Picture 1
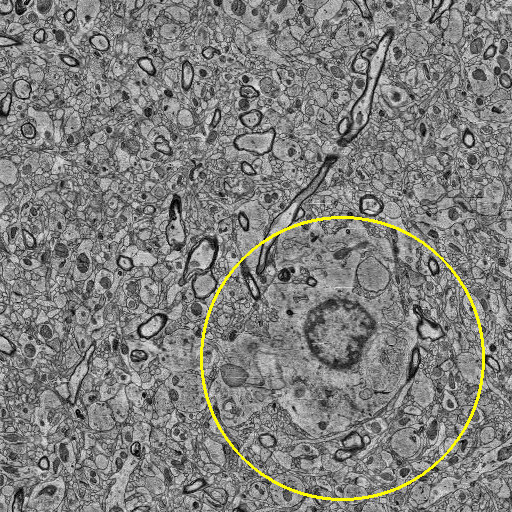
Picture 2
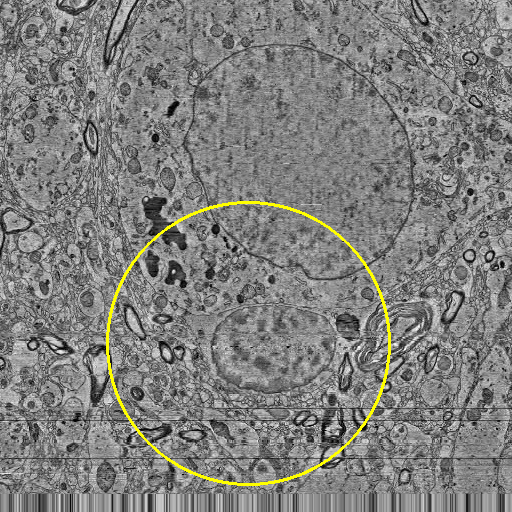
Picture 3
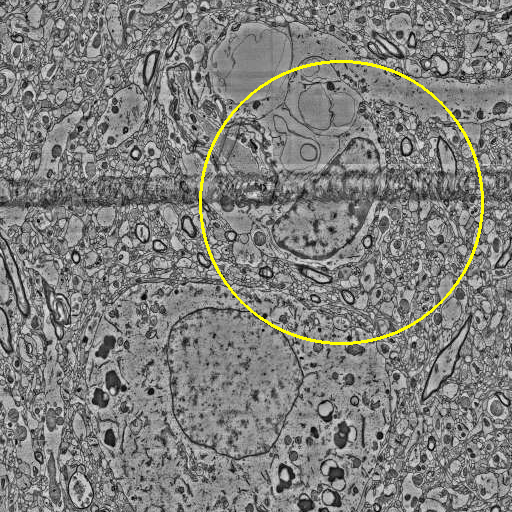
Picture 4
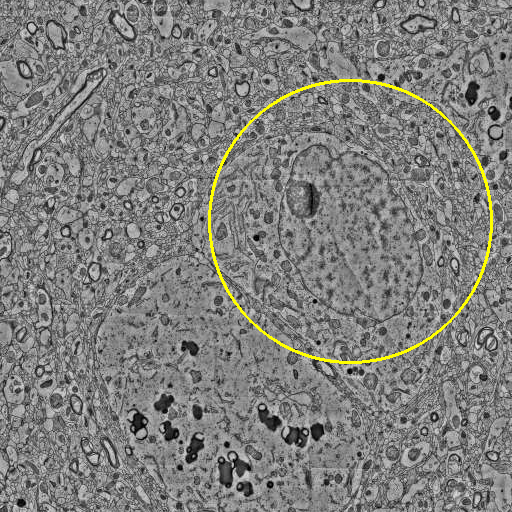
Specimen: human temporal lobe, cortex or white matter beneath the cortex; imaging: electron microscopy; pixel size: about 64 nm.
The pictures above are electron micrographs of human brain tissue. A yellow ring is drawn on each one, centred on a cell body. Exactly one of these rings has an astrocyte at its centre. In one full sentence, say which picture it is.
Picture 1 has it at the centre of its ring.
